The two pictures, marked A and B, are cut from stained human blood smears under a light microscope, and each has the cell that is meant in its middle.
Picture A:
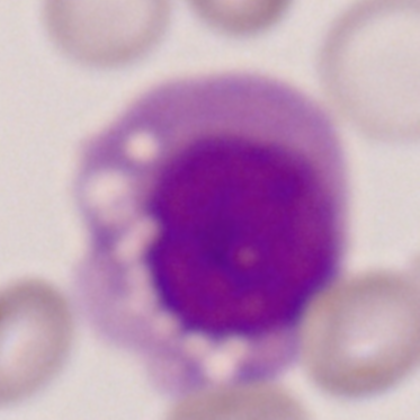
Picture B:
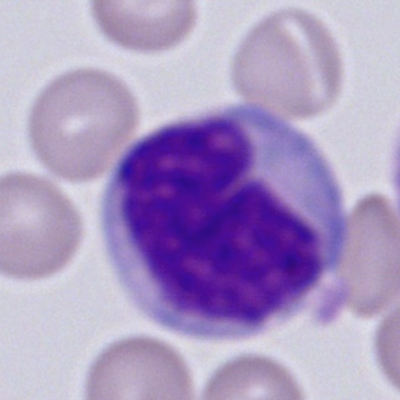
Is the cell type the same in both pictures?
yes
